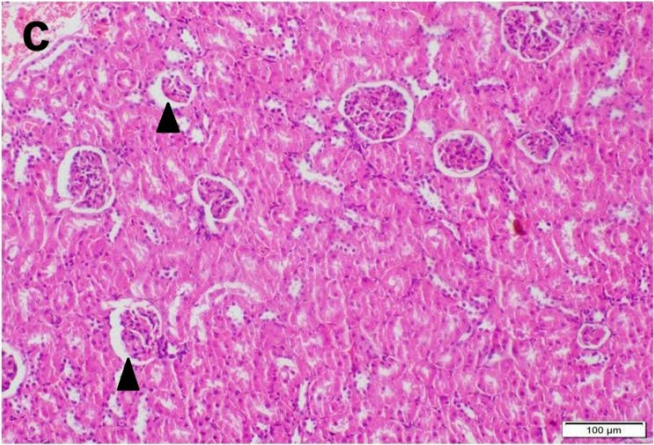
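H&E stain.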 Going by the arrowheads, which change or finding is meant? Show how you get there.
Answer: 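Glomerular atrophy. The marked glomerular tufts are small and shrunken. A wide clear space separates each marked tuft from its capsule.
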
